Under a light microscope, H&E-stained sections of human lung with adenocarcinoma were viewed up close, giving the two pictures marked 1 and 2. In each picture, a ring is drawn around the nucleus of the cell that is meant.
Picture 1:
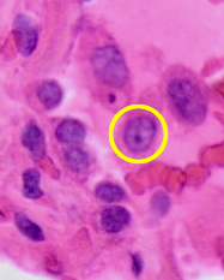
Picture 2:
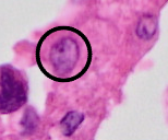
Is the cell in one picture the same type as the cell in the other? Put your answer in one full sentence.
Yes, the two pictures both show “macrophages or monocytes”.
